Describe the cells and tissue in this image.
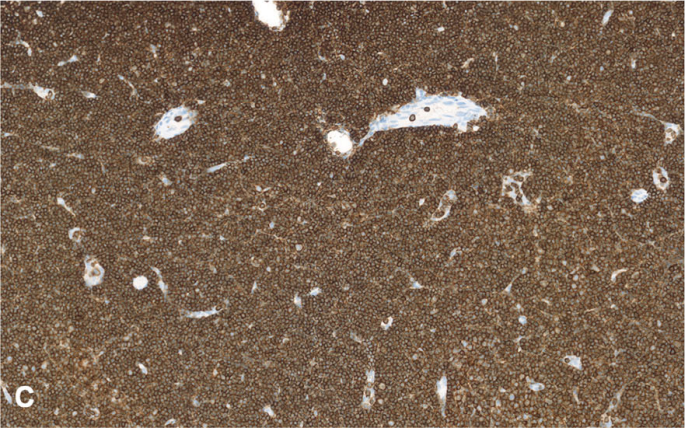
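The cells are packed closely, of fairly uniform size, with little cytoplasm, and the brown stain outlines each cell so that the field has a finely granular, cobbled look. Small vessels and thin strands of stroma run through the sheet as pale, unstained clefts and holes, some containing a few cells. No normal tissue architecture is left; the infiltrate fills the field diffusely.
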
